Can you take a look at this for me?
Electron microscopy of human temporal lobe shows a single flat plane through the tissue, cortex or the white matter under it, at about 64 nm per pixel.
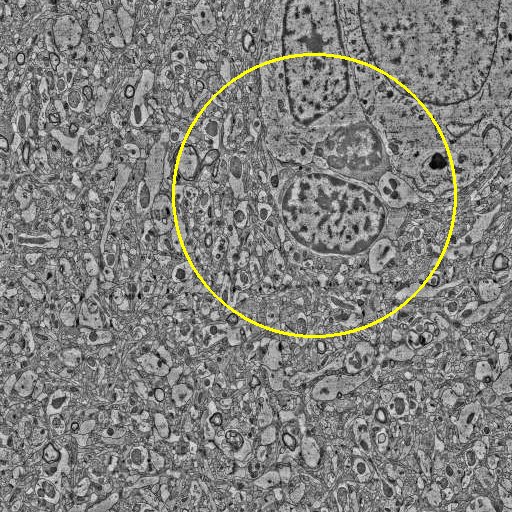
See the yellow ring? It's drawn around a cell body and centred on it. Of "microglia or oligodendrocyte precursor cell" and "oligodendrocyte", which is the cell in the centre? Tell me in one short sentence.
The one in the centre is a microglial cell or oligodendrocyte precursor cell.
